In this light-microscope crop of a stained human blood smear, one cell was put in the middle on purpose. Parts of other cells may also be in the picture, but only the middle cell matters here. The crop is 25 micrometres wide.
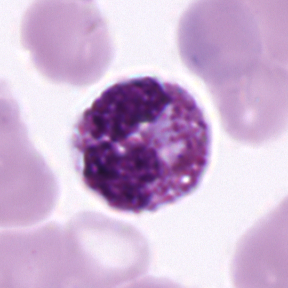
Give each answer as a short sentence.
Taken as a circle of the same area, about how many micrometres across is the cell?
Taken as a circle, the cell has a diameter of about 12 micrometres.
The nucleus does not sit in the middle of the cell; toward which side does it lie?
The nucleus lies toward the left of the cell.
